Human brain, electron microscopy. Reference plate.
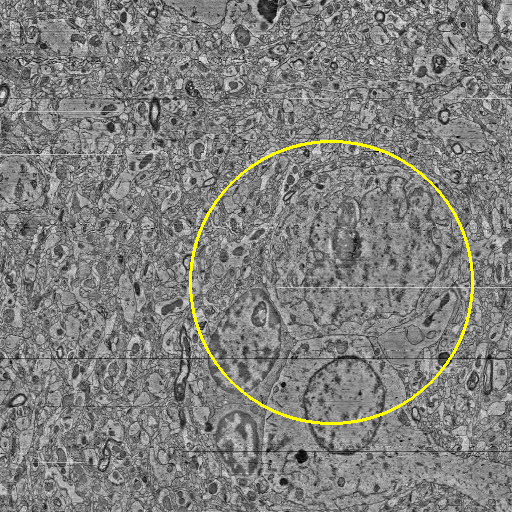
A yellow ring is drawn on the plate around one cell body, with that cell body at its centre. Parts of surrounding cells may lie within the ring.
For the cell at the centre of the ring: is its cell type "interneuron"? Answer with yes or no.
Yes, that is its cell type.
